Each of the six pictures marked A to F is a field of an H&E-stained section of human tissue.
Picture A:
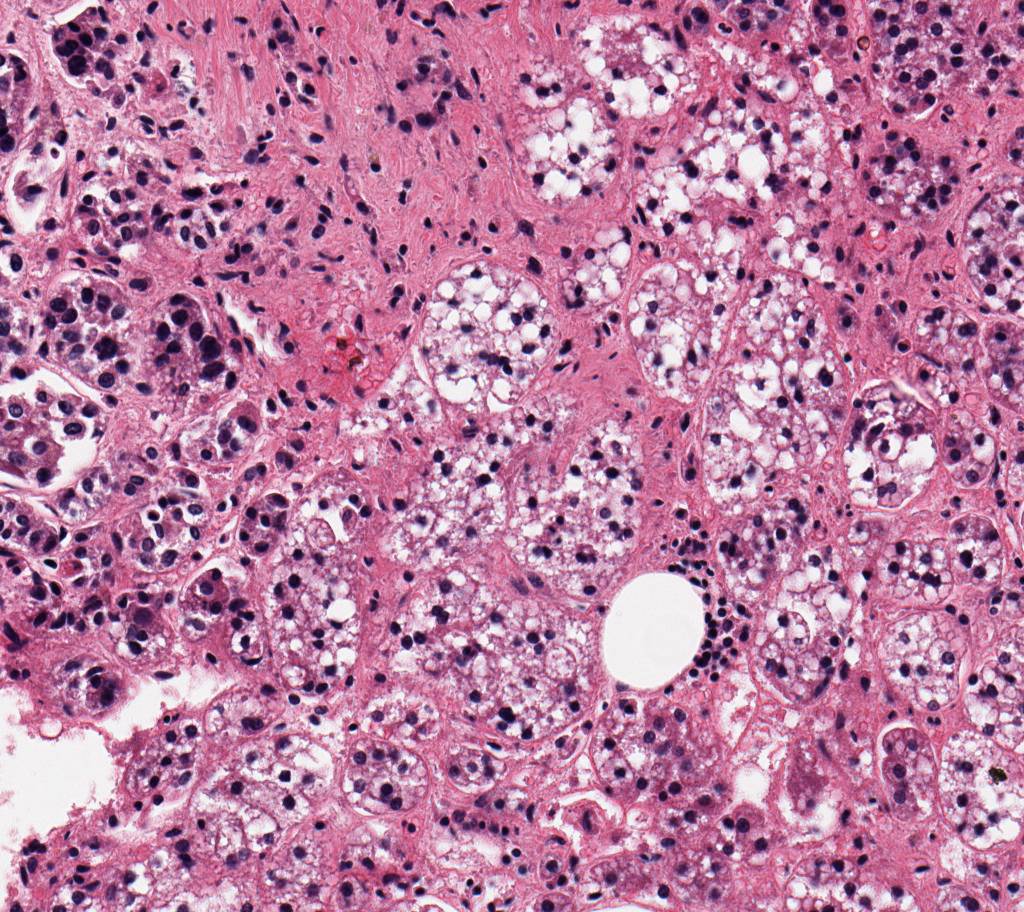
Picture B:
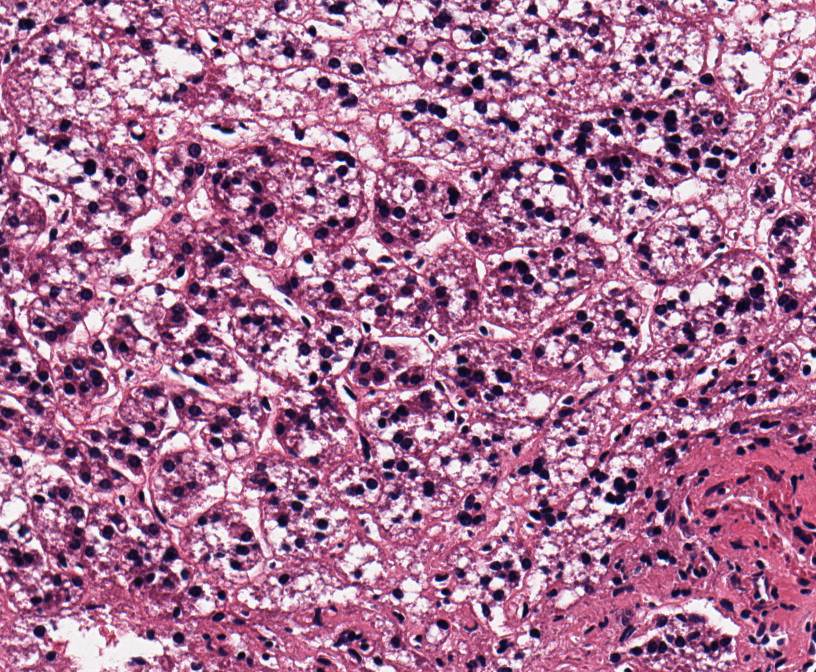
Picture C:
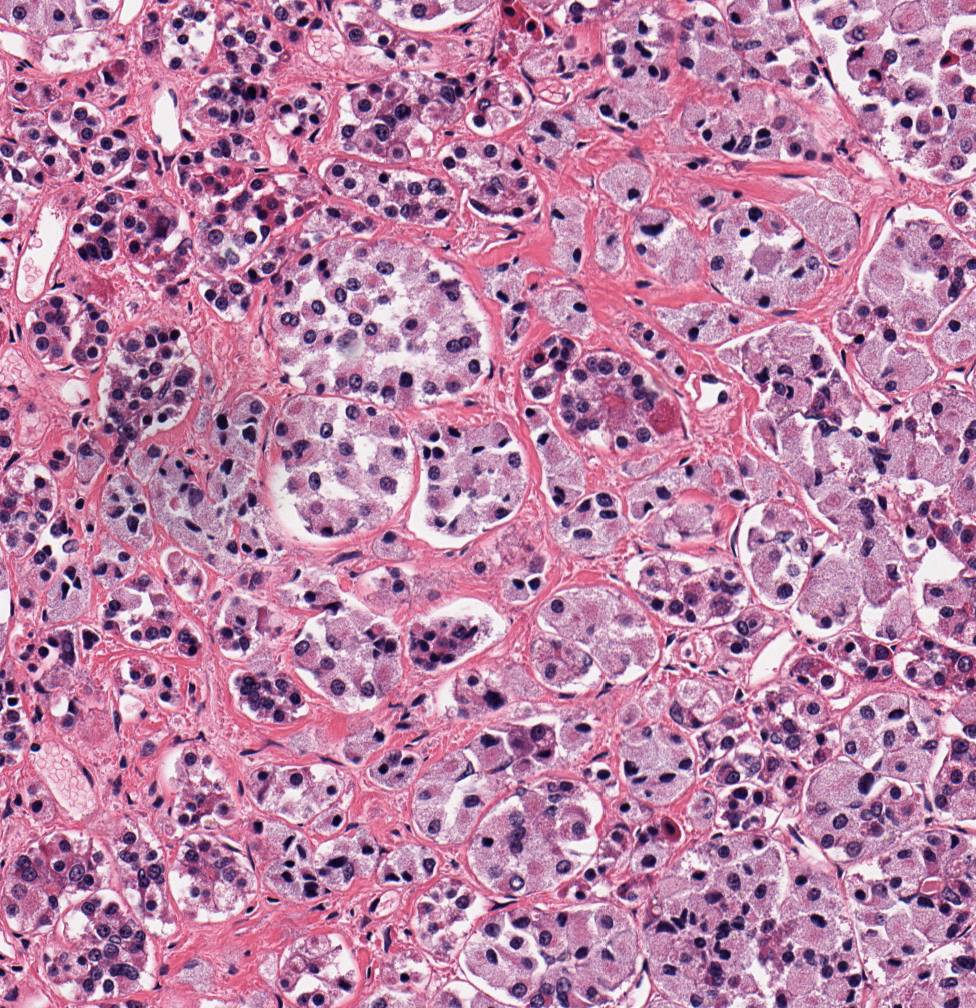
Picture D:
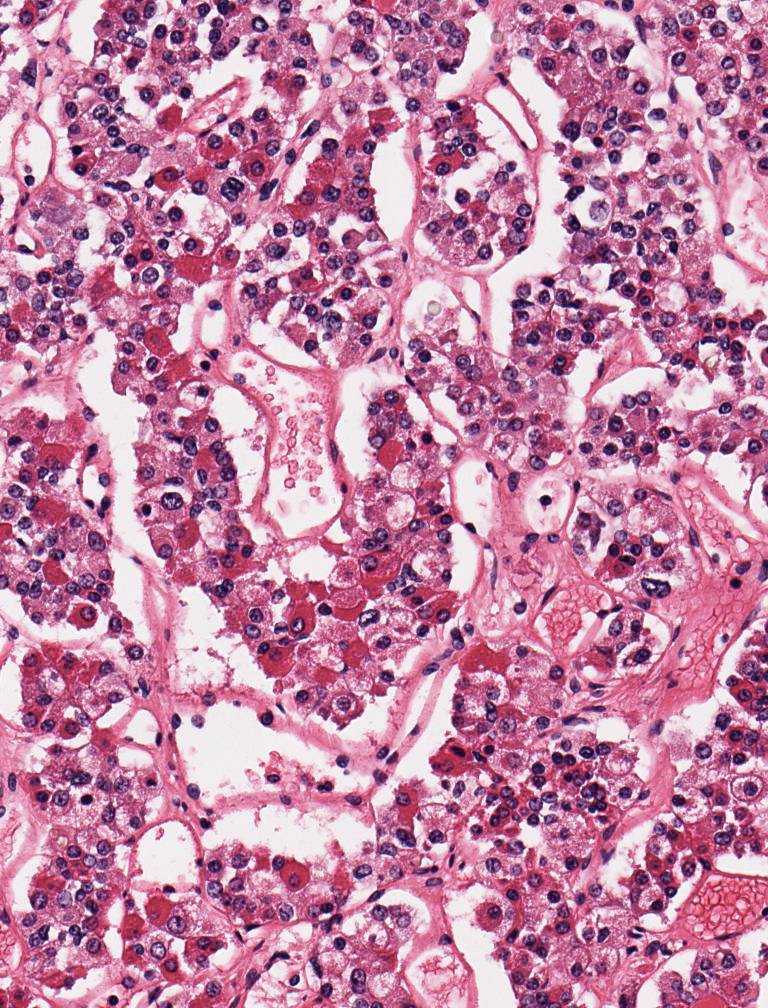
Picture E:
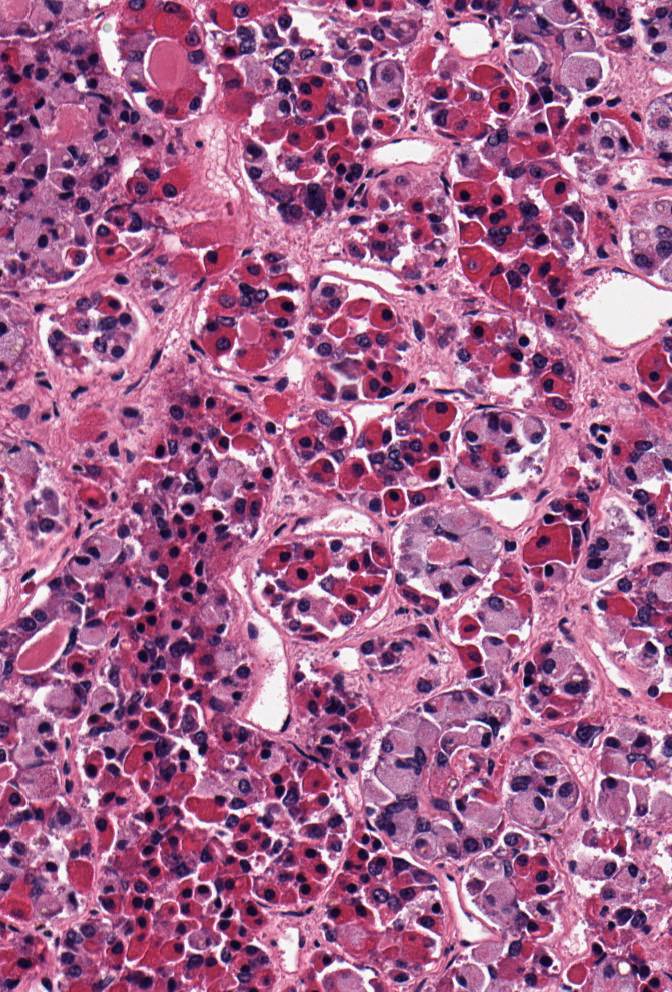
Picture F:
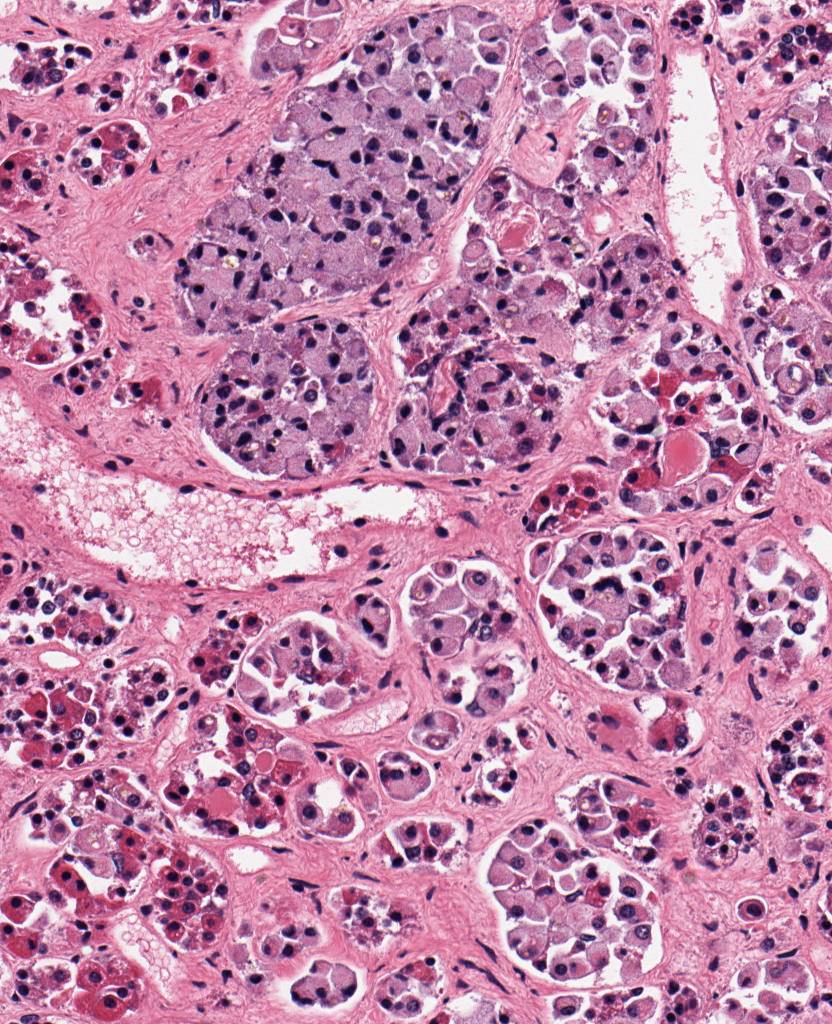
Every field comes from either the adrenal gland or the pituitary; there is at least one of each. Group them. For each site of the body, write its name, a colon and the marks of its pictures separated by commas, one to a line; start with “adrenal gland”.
adrenal gland: A, B
pituitary: C, D, E, F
